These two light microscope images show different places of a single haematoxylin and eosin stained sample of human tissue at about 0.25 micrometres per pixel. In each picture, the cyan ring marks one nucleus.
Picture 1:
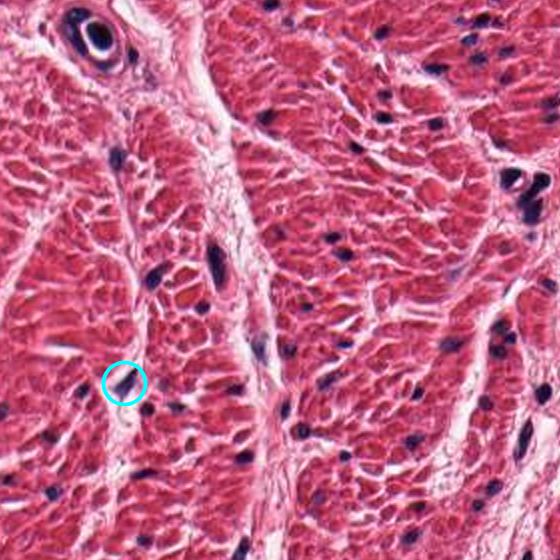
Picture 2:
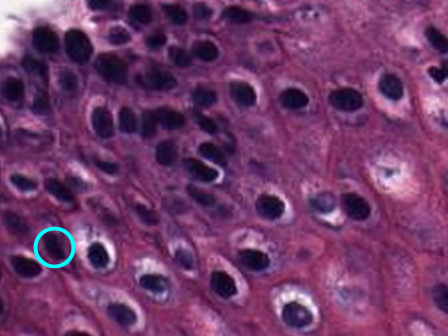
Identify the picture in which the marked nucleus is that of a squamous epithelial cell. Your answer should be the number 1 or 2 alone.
2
